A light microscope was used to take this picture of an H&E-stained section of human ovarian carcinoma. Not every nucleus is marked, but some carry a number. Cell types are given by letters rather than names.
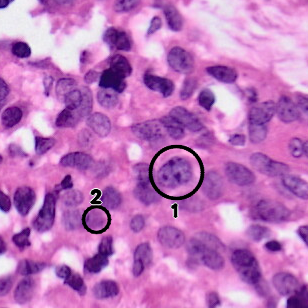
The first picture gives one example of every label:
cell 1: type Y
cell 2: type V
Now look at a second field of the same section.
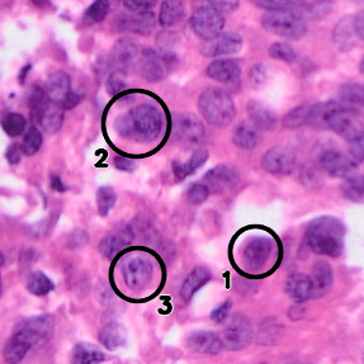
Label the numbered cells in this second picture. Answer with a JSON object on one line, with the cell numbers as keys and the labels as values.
{"1": "type V", "2": "type V", "3": "type Y"}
